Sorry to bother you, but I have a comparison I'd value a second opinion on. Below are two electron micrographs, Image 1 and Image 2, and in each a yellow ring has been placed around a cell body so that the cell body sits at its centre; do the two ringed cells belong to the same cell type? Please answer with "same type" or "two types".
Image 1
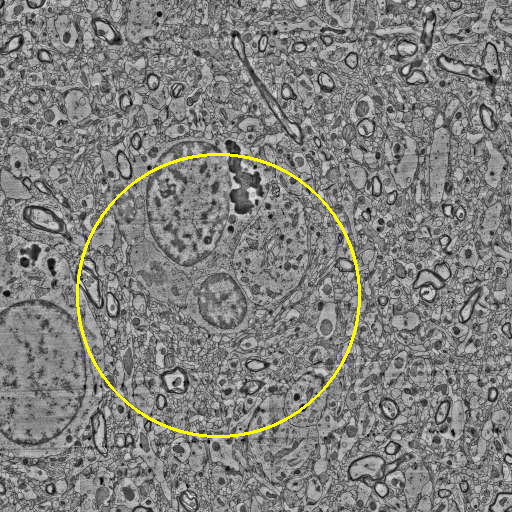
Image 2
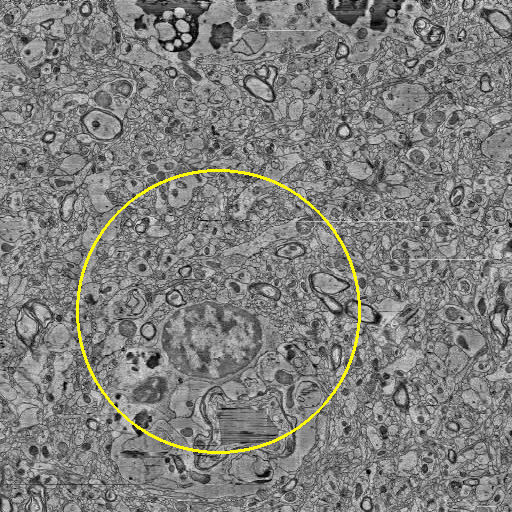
same type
